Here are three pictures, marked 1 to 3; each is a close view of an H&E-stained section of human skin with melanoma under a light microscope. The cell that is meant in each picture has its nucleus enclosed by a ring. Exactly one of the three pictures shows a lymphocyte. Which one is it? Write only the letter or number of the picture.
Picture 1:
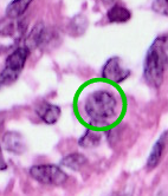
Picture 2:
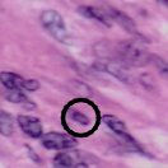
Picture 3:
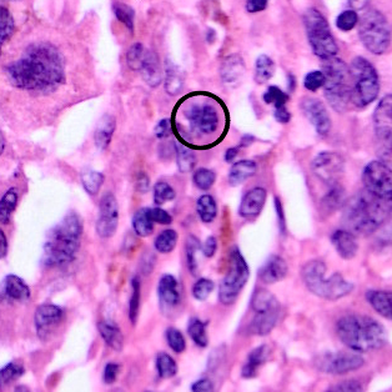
2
